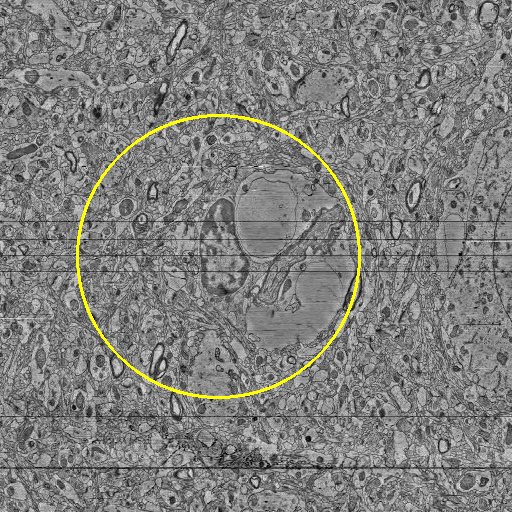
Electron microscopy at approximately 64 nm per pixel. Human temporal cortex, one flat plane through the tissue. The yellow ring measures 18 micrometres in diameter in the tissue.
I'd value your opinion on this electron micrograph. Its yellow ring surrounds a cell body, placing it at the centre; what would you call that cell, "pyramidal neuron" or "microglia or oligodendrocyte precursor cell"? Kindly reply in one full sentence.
It is a microglial cell or oligodendrocyte precursor cell that sits centred within the yellow ring in this micrograph.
